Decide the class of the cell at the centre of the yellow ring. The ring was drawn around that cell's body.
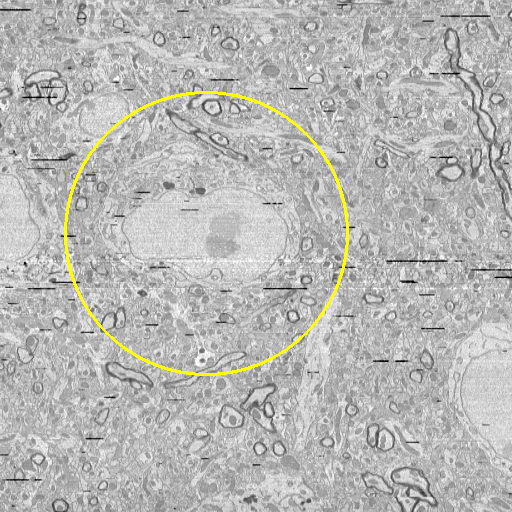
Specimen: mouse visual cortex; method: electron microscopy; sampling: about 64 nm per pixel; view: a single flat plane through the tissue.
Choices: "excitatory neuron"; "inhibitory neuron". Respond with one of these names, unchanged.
inhibitory neuron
